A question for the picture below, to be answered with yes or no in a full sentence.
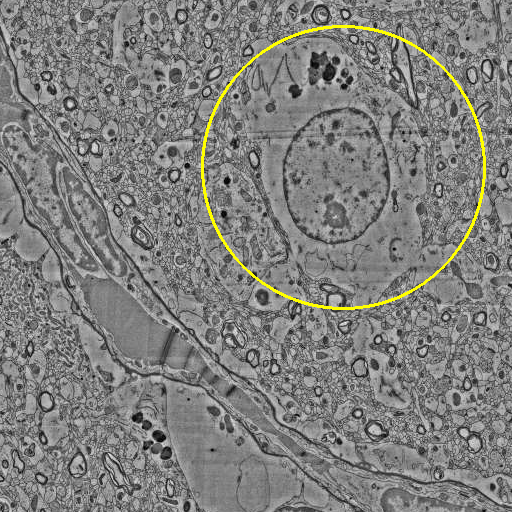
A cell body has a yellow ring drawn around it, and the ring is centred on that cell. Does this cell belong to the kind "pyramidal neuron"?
No, the pictured cell at the ring's centre belongs to another kind.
